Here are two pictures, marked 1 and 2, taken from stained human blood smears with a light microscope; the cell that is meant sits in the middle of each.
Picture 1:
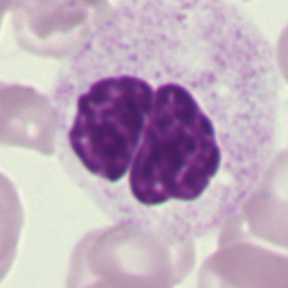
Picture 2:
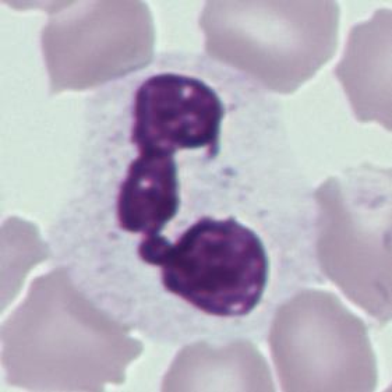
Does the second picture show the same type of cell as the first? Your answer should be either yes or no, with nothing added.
yes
